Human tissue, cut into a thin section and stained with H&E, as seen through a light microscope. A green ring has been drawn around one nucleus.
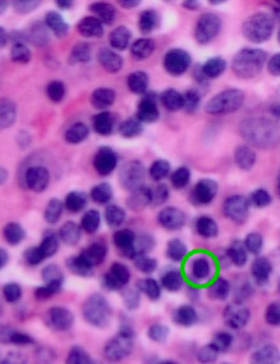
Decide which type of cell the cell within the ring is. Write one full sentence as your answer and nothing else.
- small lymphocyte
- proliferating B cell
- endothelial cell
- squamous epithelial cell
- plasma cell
Speaking plainly, the cell within the ring is nothing other than a small lymphocyte.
